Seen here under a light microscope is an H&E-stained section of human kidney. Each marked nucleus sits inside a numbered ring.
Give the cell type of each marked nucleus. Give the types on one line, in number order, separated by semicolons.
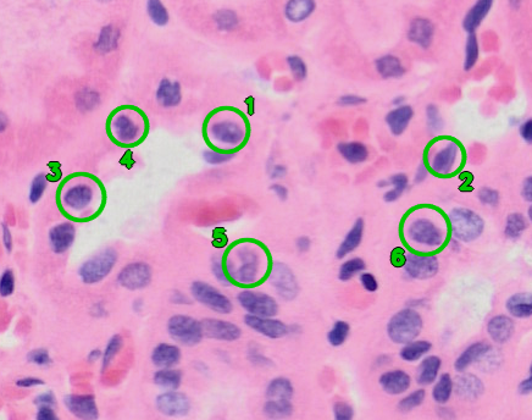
loop of Henle or distal tubule cell; endothelial cell; loop of Henle or distal tubule cell; loop of Henle or distal tubule cell; collecting duct cell; collecting duct cell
